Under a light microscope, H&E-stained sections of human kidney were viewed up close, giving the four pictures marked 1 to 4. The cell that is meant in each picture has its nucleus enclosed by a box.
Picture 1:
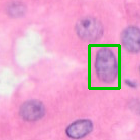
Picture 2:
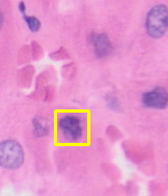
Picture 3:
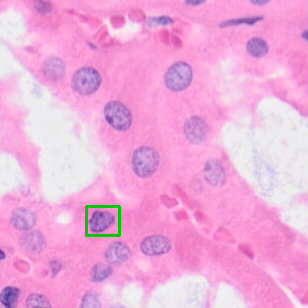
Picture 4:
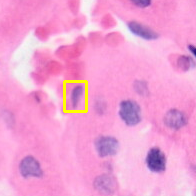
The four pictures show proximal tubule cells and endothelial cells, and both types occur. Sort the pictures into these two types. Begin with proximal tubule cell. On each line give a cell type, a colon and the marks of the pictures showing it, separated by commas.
proximal tubule cell: 1, 2, 3
endothelial cell: 4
